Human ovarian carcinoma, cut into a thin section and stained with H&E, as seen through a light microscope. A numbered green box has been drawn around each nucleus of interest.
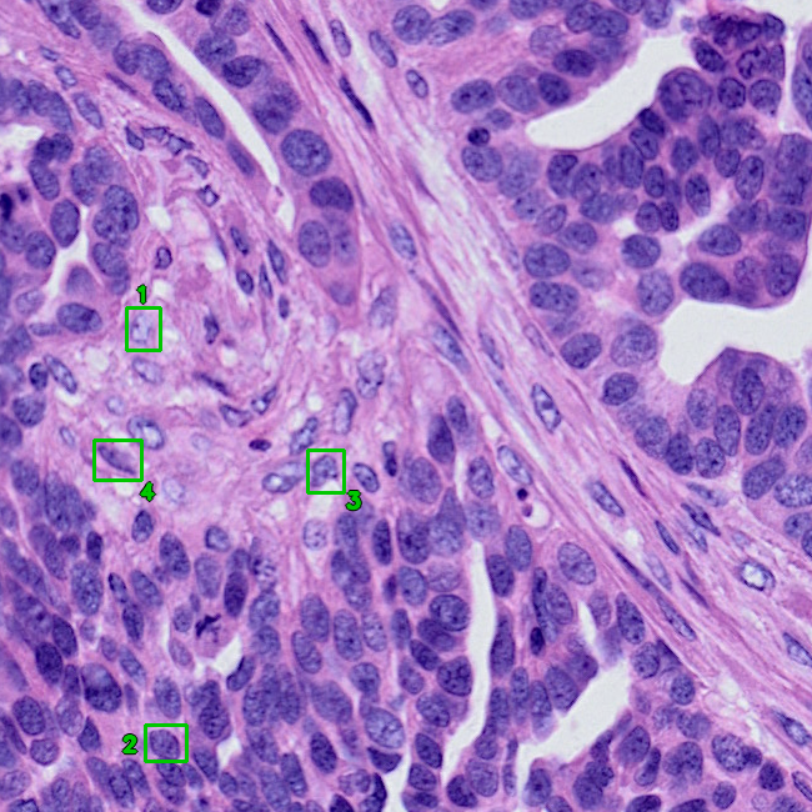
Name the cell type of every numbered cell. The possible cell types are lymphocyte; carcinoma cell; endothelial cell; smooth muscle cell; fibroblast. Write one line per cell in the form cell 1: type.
cell 1: fibroblast
cell 2: carcinoma cell
cell 3: fibroblast
cell 4: fibroblast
